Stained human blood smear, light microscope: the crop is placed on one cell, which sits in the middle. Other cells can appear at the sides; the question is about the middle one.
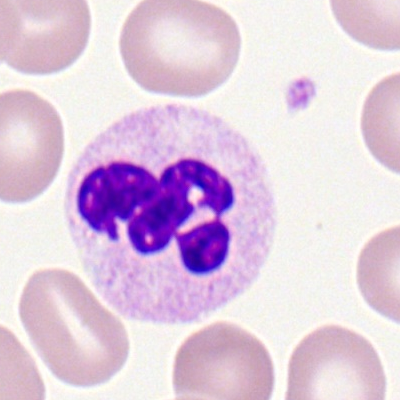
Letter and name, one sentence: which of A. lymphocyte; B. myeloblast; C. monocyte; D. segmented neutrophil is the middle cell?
Identification: the cell in the middle is a segmented neutrophil, matching option D.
